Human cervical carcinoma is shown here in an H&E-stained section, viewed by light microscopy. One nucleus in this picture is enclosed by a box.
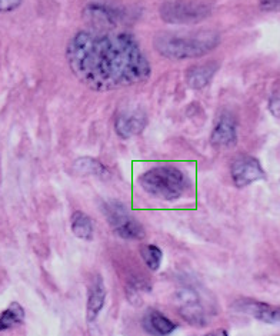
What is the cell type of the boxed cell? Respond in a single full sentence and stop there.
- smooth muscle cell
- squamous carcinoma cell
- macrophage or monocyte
In this tissue section, the boxed cell is to be classed as a macrophage or monocyte.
